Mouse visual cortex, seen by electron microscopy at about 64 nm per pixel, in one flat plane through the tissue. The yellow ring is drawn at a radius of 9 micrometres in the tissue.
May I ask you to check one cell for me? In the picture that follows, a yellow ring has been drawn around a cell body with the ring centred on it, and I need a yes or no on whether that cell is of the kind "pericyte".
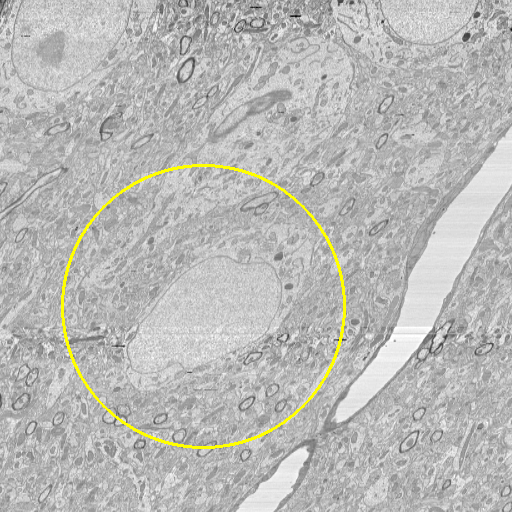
No, it is some other kind of cell.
